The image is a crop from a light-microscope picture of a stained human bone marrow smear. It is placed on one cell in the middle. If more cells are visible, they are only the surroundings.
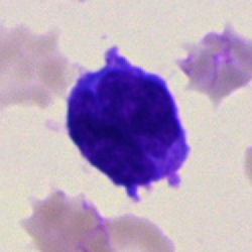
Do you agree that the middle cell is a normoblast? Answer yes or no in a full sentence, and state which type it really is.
No, the central cell is not a normoblast; it is a blast.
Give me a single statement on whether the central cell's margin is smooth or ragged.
Along its border, the cell is uneven, whether by ragged stretches or by projections.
